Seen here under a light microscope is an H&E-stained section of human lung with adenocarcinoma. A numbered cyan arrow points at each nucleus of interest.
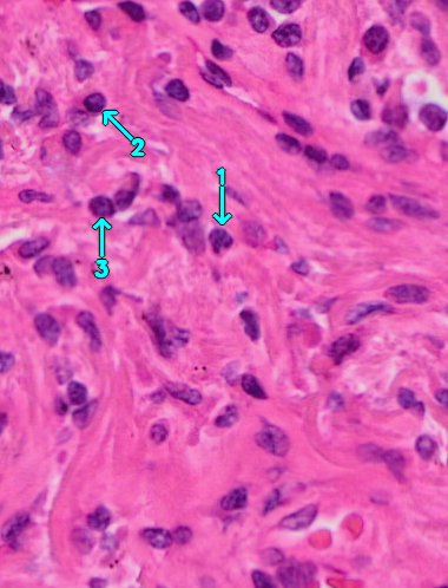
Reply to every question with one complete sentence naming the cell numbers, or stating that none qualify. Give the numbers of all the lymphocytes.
The cells marked by the numbers 1 and 3 are lymphocytes.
